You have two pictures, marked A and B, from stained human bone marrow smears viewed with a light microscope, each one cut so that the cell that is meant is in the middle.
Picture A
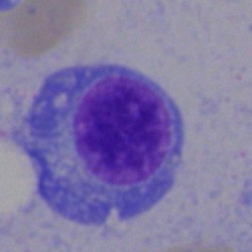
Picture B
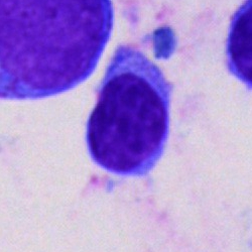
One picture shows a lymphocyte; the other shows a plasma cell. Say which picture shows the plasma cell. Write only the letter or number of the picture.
A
